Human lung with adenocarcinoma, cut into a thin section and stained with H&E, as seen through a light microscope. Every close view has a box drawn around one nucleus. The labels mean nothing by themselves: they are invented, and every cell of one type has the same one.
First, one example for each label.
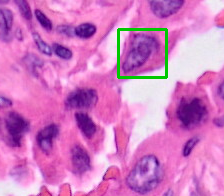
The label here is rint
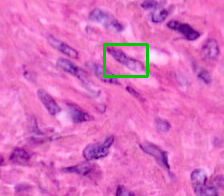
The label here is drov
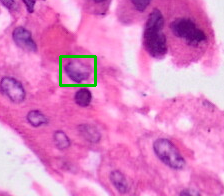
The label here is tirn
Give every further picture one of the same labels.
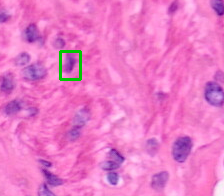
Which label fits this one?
drov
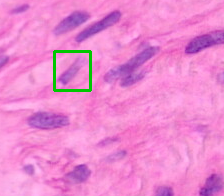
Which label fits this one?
drov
